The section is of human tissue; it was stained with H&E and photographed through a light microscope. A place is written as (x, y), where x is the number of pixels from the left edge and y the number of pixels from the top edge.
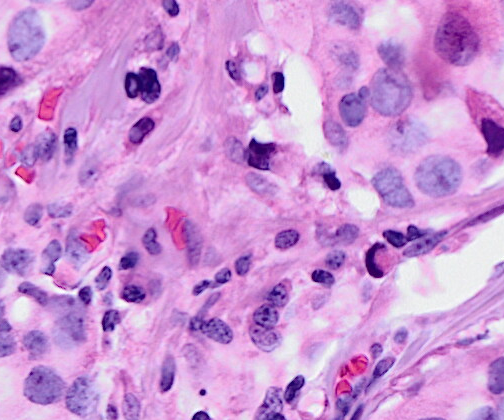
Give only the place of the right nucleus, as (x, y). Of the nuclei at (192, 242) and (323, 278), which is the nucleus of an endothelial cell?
(192, 242)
